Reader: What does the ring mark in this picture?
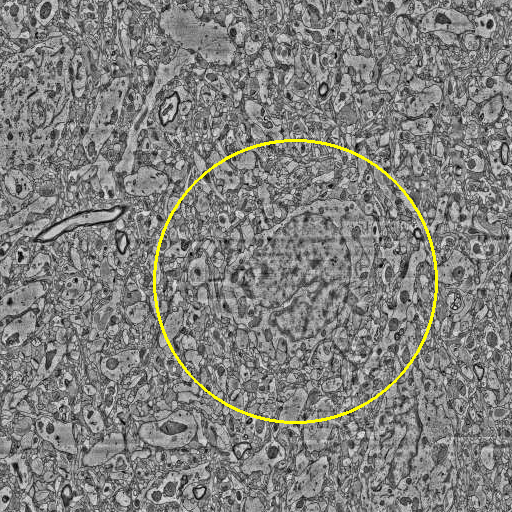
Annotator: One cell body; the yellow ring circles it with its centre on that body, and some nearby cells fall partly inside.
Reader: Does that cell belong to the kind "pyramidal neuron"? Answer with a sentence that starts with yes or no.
No, the cell at the ring's centre in this picture is of another kind.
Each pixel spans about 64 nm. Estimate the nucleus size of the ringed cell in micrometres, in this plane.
The ringed cell's nucleus is about 8 micrometres long and 7 micrometres wide in this plane.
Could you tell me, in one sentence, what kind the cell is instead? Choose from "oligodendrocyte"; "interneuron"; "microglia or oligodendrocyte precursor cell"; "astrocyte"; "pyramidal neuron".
The cell that the ring is centred on is an interneuron.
